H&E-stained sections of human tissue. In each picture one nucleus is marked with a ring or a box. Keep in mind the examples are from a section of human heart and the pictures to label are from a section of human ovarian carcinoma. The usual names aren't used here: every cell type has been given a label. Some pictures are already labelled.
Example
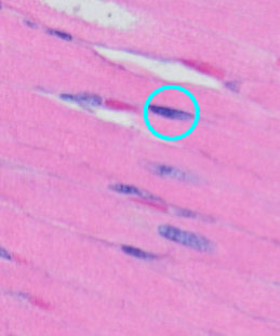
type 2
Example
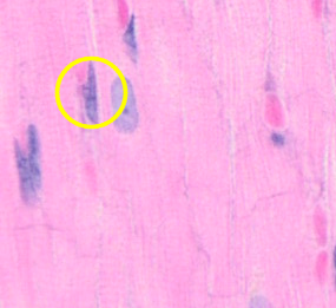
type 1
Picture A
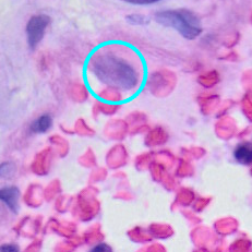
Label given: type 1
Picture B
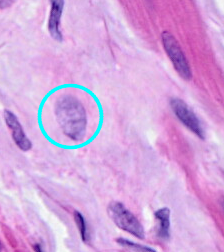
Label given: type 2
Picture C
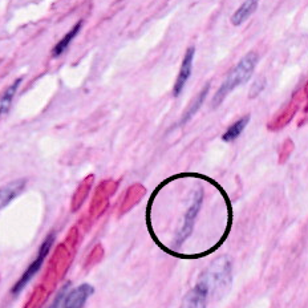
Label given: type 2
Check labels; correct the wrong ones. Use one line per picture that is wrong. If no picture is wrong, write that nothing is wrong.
All correct.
